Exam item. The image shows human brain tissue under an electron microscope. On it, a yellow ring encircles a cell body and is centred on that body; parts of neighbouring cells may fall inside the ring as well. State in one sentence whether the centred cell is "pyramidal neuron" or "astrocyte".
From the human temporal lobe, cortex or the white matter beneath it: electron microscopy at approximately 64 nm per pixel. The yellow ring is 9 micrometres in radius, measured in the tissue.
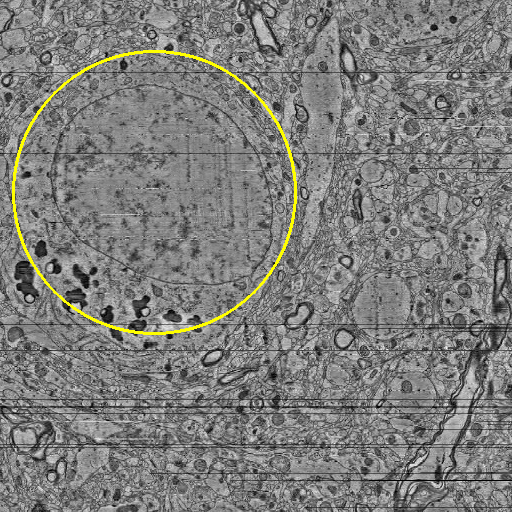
The cell body centred in the ring is a pyramidal neuron.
